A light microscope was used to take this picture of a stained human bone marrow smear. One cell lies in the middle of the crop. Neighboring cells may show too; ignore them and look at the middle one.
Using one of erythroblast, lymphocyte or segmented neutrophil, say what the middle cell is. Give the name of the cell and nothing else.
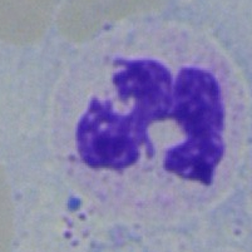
segmented neutrophil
